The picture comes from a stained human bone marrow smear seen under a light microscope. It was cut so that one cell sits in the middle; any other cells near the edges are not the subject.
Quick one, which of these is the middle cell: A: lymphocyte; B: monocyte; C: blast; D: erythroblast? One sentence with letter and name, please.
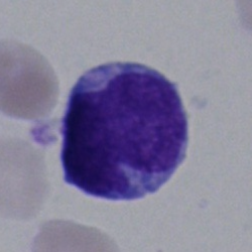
The central cell is a blast, which makes option C the right answer.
